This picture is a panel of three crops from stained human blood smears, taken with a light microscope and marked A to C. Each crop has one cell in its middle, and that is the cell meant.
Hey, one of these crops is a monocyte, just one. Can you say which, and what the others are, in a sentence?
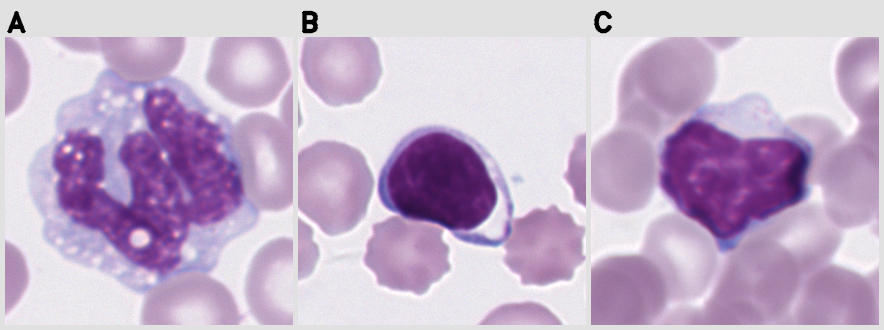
Concerning crop A, the cell shown is a monocyte, whereas crop B is a typical lymphocyte and crop C is a large granular lymphocyte.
